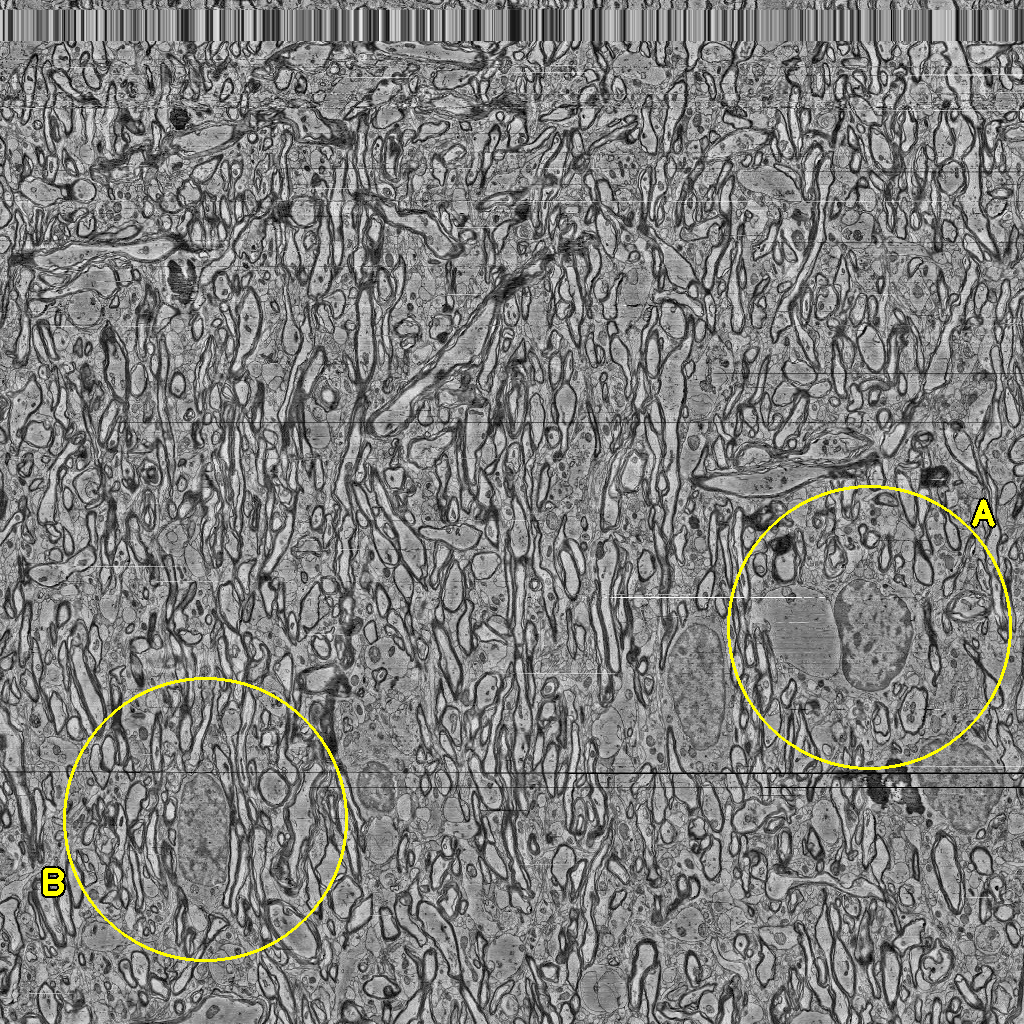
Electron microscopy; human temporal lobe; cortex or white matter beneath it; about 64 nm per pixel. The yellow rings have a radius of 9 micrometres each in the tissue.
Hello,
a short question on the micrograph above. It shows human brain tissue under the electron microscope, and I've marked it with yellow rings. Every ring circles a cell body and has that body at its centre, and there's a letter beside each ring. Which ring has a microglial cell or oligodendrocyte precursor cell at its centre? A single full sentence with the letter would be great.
The cell you asked about sits at the centre of ring A.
